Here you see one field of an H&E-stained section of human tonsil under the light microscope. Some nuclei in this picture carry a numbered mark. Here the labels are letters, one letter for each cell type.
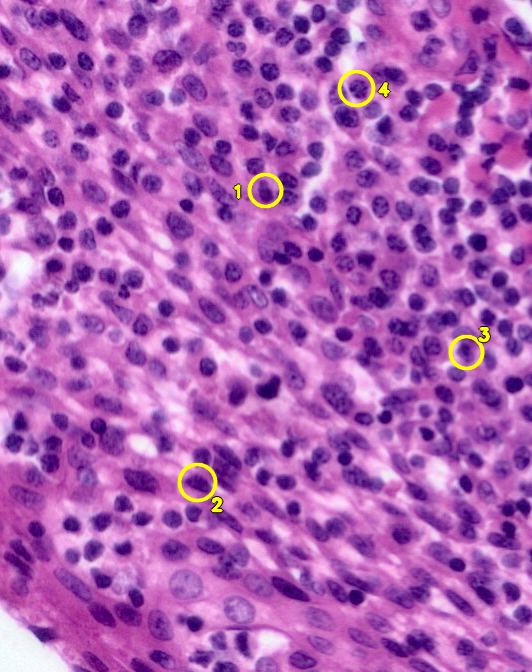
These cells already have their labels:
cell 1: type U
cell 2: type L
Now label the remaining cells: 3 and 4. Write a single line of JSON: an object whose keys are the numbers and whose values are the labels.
{"3": "type U", "4": "type U"}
